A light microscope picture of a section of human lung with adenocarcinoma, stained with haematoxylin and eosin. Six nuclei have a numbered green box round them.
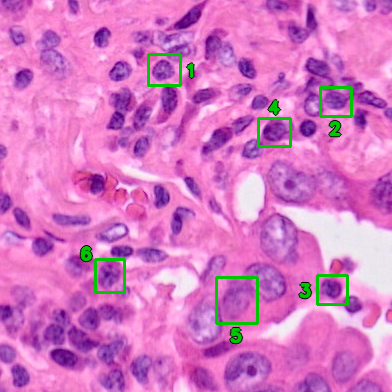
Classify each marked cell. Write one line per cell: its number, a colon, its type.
1: lymphocyte
2: lymphocyte
3: lymphocyte
4: plasma cell
5: carcinoma cell
6: plasma cell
